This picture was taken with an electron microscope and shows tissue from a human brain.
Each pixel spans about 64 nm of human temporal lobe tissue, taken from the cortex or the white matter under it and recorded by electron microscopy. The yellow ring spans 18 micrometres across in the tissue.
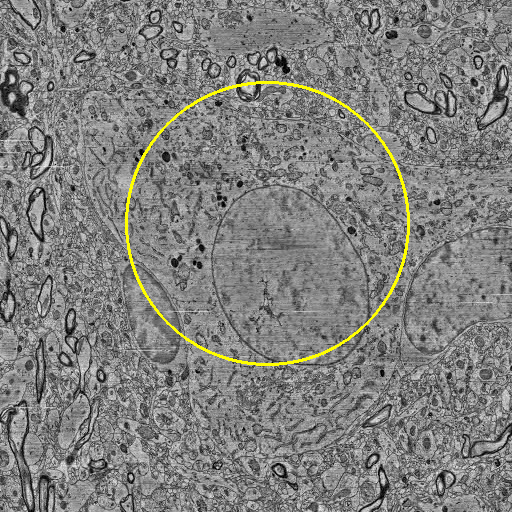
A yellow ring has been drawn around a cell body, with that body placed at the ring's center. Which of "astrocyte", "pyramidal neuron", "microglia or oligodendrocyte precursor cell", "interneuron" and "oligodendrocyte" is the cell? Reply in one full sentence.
In this picture, a pyramidal neuron is the cell at the center of the yellow ring.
